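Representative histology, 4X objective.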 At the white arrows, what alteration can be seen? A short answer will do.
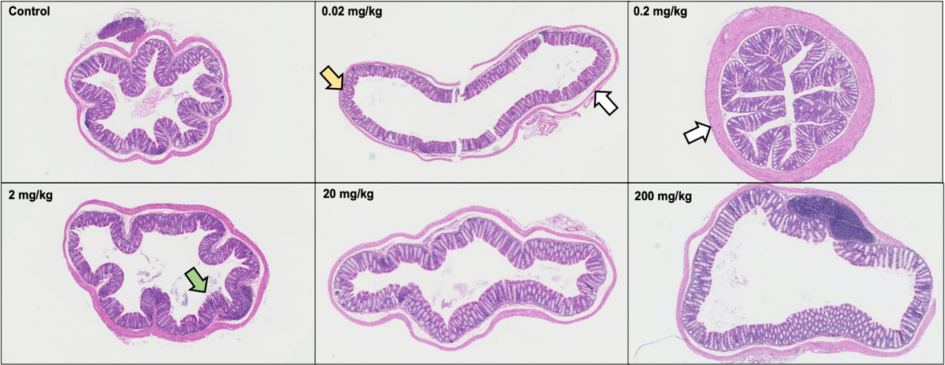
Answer: Aberrant colon walls.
